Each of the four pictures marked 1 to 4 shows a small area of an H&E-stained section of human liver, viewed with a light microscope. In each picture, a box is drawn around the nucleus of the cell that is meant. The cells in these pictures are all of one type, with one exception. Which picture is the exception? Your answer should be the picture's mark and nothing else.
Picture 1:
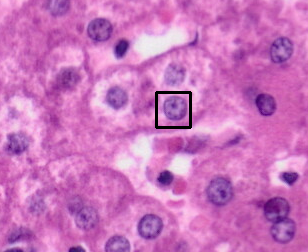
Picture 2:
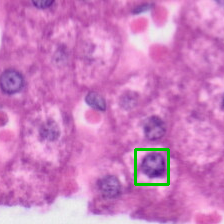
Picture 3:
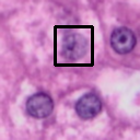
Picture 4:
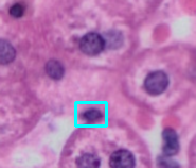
4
